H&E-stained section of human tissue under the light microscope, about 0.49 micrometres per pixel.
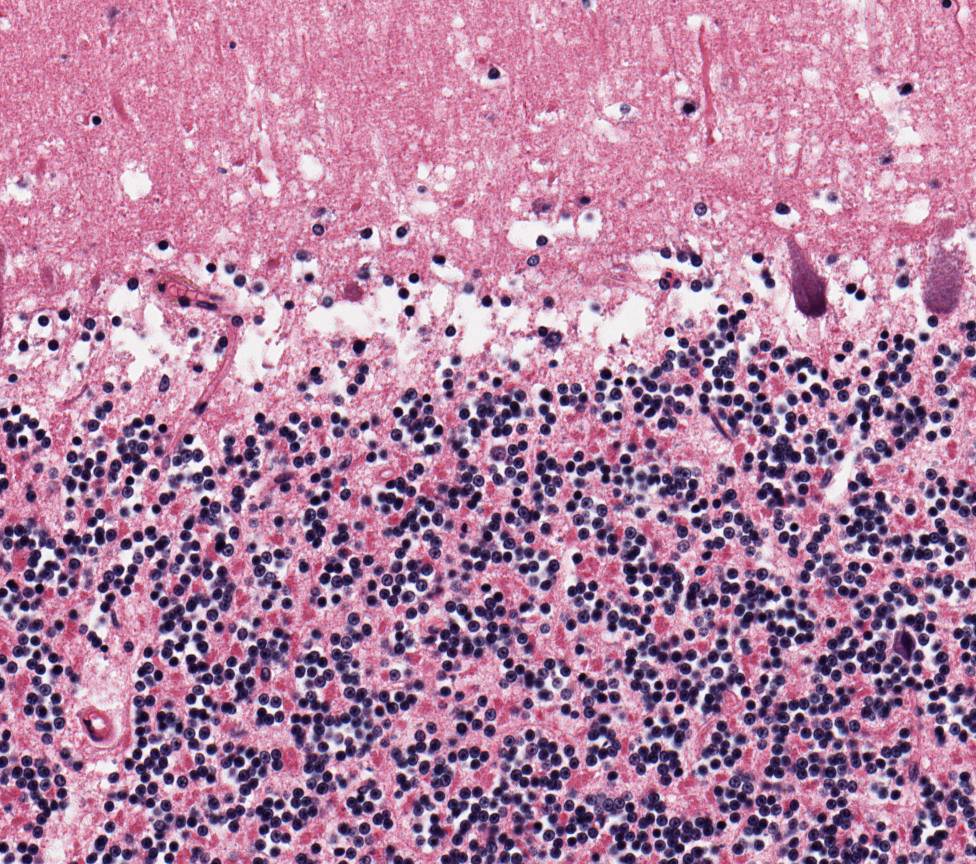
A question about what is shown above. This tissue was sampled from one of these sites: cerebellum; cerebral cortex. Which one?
cerebellum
